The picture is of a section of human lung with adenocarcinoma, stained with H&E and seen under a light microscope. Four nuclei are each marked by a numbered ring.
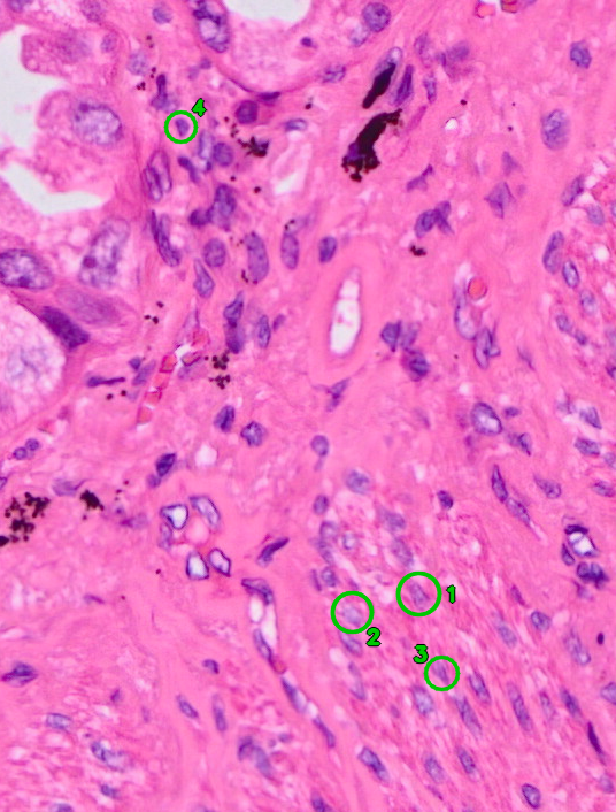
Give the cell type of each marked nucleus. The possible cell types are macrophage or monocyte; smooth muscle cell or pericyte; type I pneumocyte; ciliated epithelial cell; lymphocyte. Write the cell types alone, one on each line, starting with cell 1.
smooth muscle cell or pericyte
smooth muscle cell or pericyte
smooth muscle cell or pericyte
lymphocyte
